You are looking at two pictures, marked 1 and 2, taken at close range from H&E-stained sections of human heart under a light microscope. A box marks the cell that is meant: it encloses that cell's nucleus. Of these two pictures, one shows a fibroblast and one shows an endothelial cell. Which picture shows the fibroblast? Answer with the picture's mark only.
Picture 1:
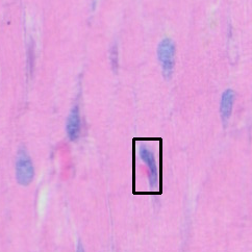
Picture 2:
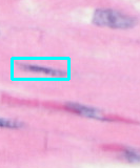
2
